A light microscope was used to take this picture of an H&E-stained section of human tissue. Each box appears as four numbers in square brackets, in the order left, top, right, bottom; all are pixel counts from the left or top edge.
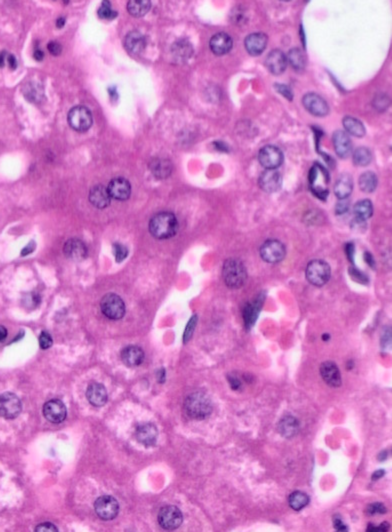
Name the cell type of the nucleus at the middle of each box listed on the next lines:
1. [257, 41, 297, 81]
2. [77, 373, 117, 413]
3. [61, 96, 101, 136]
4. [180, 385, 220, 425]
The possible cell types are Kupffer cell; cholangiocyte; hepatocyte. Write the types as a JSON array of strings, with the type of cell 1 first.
["cholangiocyte", "hepatocyte", "hepatocyte", "hepatocyte"]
